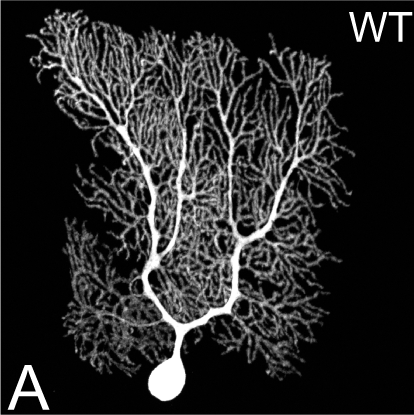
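At the bottom sits its large, rounded cell body, from which one thick main dendrite rises. This trunk splits into a few stout branches that climb upward and divide again and again. The finest branches form a dense, bushy arbor that spreads out like a flat fan above the cell body.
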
